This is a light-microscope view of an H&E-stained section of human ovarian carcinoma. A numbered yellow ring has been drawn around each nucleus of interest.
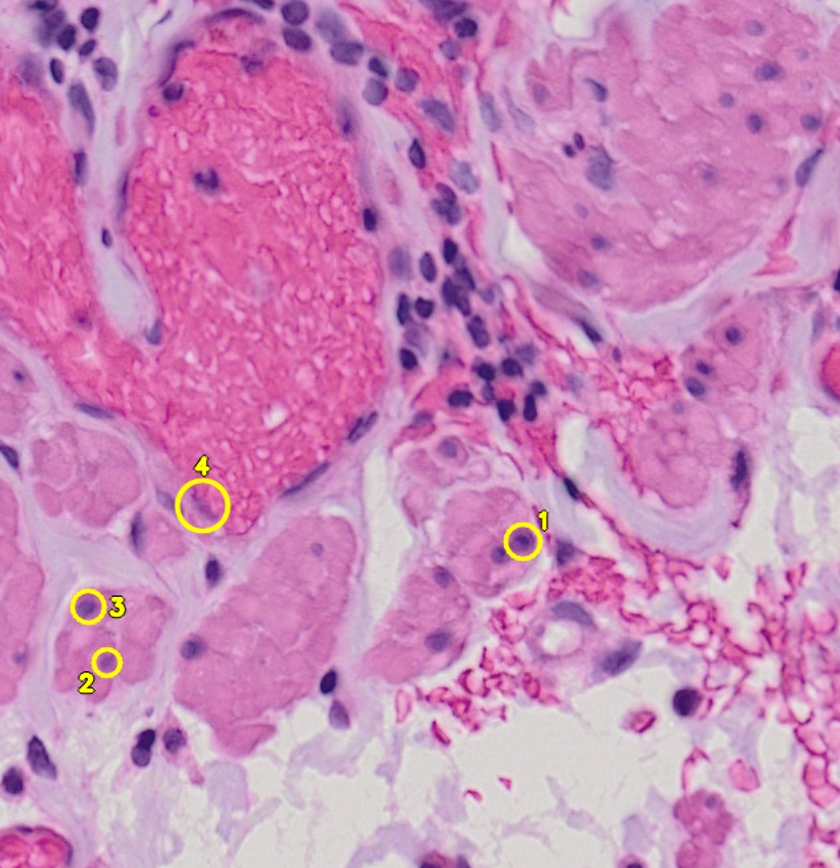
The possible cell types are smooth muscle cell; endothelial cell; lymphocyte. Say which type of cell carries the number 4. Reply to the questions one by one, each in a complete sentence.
The cell carrying label 4 is identified as an endothelial cell.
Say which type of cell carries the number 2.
The cell identified by number 2 is a smooth muscle cell.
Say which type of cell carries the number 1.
The cell assigned the number 1 is a smooth muscle cell.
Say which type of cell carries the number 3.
The one numbered 3 among the marked cells is a smooth muscle cell.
